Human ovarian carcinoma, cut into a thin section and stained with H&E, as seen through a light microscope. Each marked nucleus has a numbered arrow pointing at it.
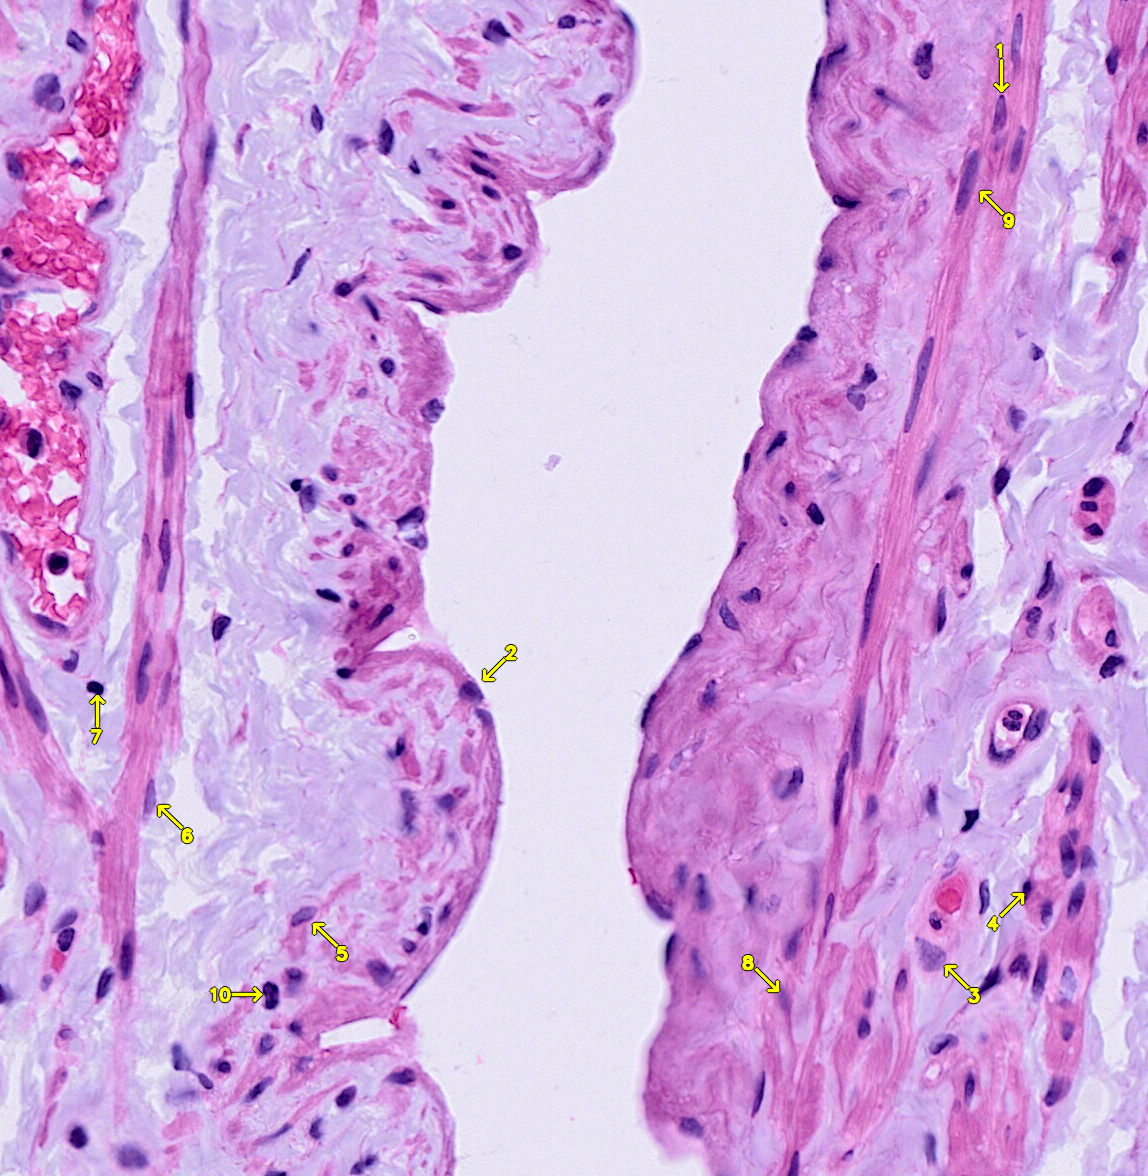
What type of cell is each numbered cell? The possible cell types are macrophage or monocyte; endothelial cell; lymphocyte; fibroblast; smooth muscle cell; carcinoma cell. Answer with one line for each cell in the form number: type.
1: smooth muscle cell
2: endothelial cell
3: endothelial cell
4: smooth muscle cell
5: smooth muscle cell
6: smooth muscle cell
7: lymphocyte
8: smooth muscle cell
9: smooth muscle cell
10: lymphocyte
